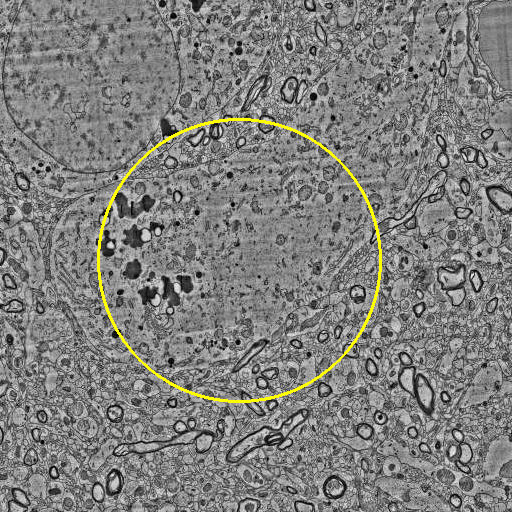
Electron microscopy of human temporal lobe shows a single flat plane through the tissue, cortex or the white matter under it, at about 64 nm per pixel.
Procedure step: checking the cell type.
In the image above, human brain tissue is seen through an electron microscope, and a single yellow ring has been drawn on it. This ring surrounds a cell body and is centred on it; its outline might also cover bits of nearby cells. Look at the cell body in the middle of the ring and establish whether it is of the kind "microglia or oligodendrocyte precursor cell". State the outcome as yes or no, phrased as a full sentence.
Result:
No, the cell body at the ring's centre in the image is of another kind.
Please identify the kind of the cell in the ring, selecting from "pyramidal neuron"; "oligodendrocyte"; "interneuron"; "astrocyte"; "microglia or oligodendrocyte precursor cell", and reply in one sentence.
The ring's central cell is a pyramidal neuron instead.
